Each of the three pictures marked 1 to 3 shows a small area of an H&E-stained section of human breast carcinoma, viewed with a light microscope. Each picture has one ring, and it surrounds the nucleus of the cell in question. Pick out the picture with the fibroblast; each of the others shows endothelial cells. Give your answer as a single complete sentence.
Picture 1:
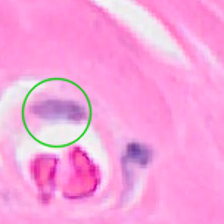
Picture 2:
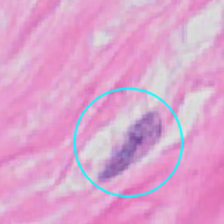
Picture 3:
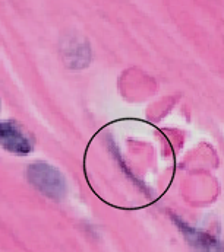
It is picture 2 that shows the fibroblast.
